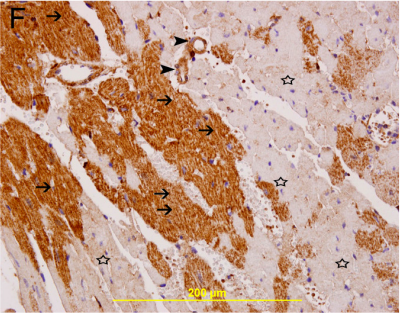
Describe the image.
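Clusters of myocytes are filled with dense brown cytoplasm, while the surrounding myocytes are pale with small bluish nuclei. The brown groups have clear edges against the unstained fibres, giving a patchy, sharply bordered pattern. Small vessels and narrow interstitial spaces lie between the fibre groups.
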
